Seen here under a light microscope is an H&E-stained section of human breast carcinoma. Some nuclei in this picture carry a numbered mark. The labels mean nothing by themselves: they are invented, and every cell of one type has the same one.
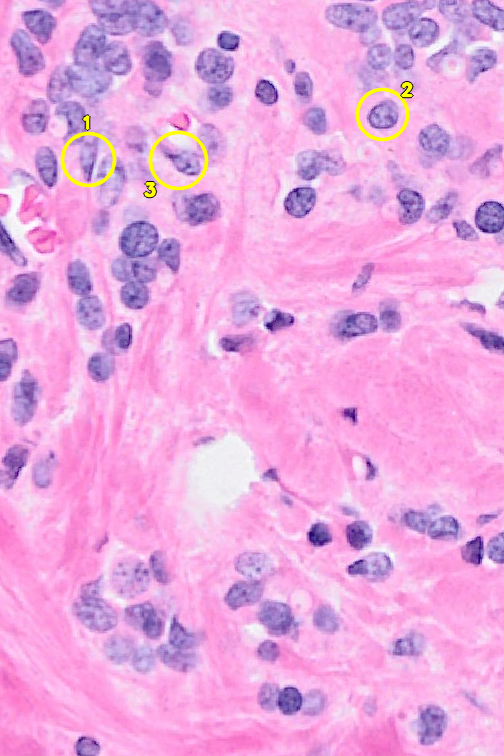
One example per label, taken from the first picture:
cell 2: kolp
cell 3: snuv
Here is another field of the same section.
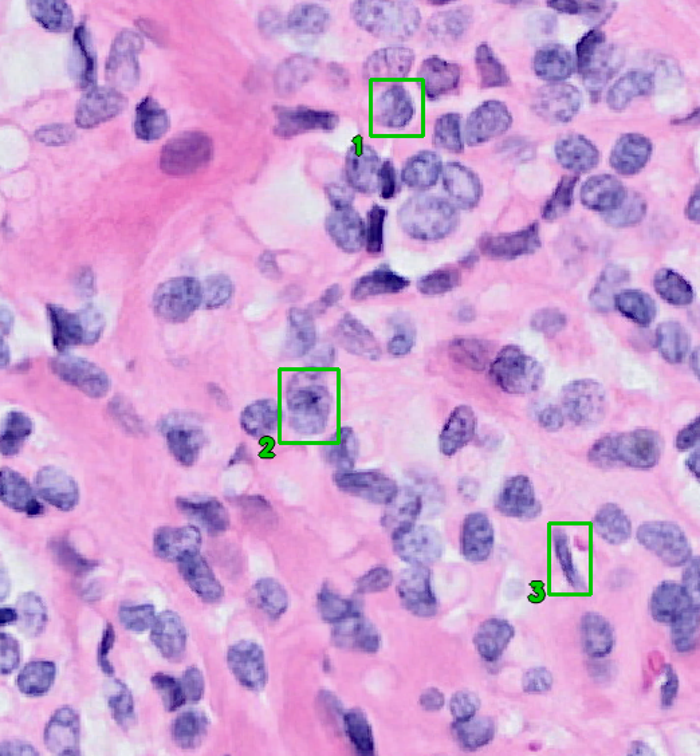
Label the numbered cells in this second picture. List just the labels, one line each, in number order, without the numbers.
kolp
kolp
snuv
